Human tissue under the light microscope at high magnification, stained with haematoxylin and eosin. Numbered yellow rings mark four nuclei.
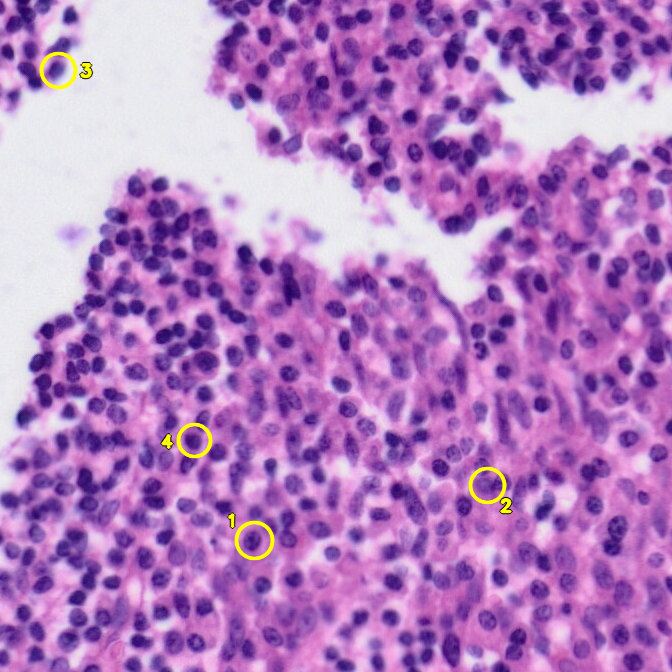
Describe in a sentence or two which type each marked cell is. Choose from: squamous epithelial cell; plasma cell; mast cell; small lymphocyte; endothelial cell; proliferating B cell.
Cells 1, 2 and 4 are plasma cells. Cell 3 is a small lymphocyte.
